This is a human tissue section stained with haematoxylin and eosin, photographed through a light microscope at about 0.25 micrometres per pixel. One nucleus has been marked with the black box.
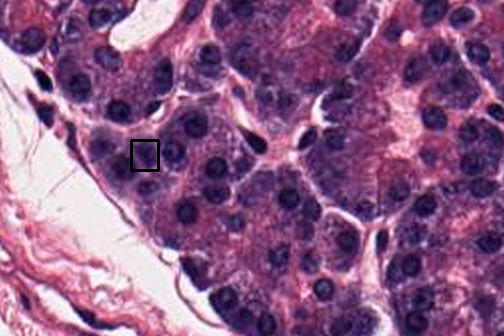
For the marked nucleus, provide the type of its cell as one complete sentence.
The marked nucleus is that of a pancreatic acinar cell.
